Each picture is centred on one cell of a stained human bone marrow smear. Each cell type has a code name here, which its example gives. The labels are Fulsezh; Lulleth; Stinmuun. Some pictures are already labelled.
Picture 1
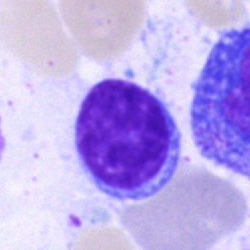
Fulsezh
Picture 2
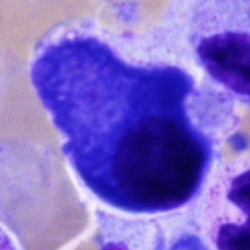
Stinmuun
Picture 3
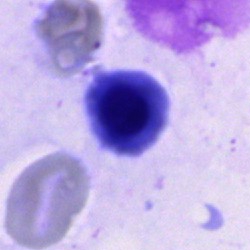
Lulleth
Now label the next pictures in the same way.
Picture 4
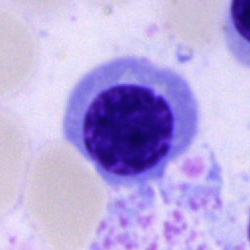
Lulleth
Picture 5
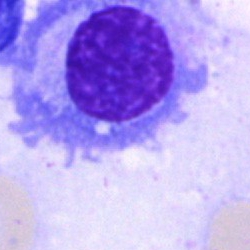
Stinmuun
